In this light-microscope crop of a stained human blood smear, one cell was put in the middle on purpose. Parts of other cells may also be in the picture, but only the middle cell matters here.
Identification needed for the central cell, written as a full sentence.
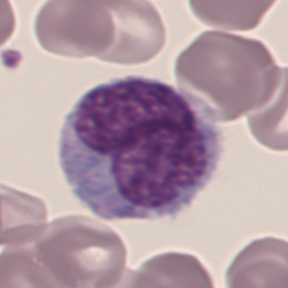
Present in the middle of the crop is a monocyte.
